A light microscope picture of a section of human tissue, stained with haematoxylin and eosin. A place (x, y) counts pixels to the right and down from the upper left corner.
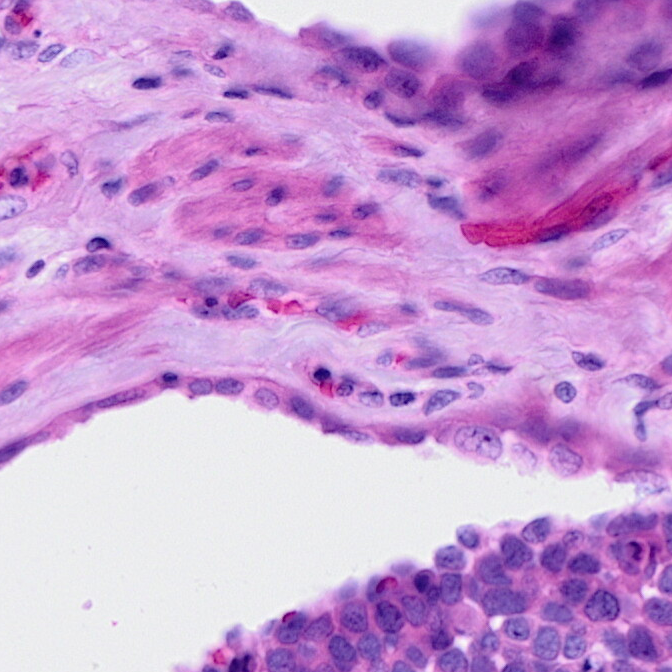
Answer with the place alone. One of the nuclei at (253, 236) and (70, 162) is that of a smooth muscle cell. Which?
(253, 236)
